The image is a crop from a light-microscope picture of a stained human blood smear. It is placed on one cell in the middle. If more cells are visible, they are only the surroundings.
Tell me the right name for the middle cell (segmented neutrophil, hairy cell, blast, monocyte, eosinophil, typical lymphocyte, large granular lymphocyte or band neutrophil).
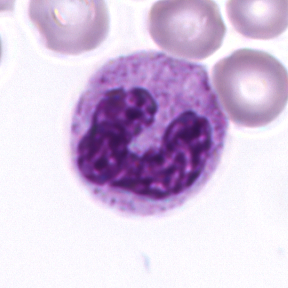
band neutrophil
